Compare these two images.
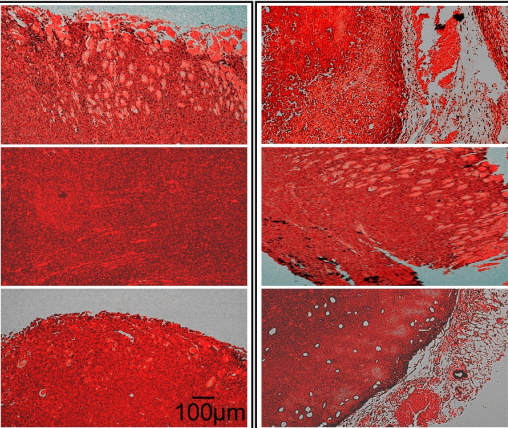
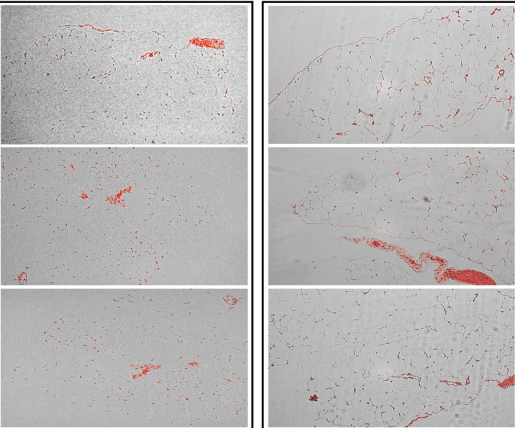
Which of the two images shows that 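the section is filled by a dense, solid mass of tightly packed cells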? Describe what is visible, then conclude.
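The first image. Second image: mostly large clear spaces outlined by thin red walls, with no dense cellular mass. First image: solid, deeply red-stained tissue crowded with dark nuclei fills the sections.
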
